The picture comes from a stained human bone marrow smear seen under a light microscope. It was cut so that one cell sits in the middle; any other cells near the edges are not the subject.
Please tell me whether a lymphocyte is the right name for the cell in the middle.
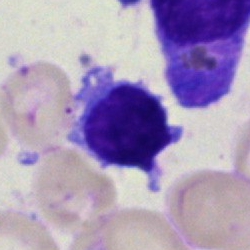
yes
